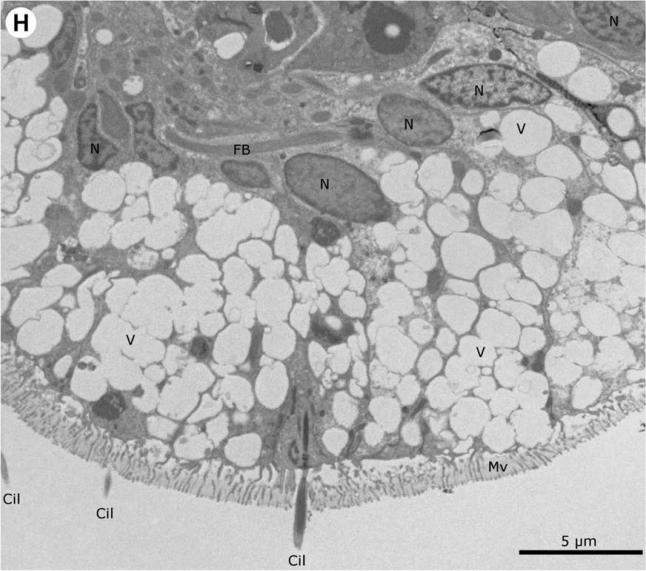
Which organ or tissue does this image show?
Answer: Epithelial region.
